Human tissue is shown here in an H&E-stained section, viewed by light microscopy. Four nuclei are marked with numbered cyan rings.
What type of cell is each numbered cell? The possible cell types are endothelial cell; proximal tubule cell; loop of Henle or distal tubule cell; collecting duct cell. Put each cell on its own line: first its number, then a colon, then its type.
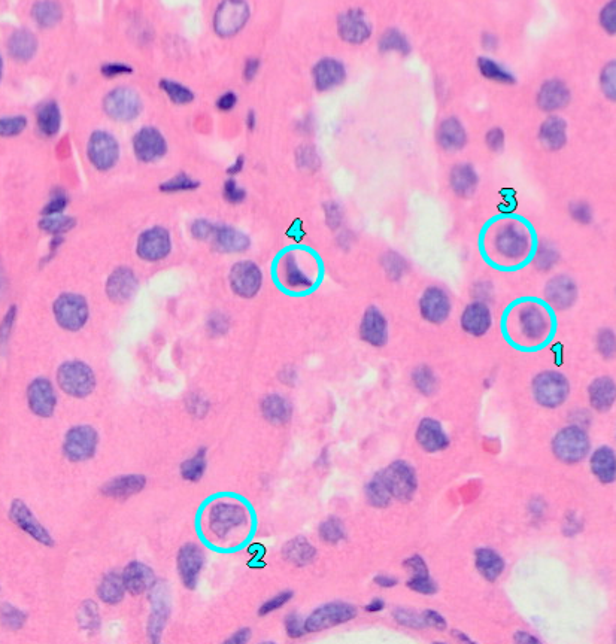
1: loop of Henle or distal tubule cell
2: loop of Henle or distal tubule cell
3: loop of Henle or distal tubule cell
4: endothelial cell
